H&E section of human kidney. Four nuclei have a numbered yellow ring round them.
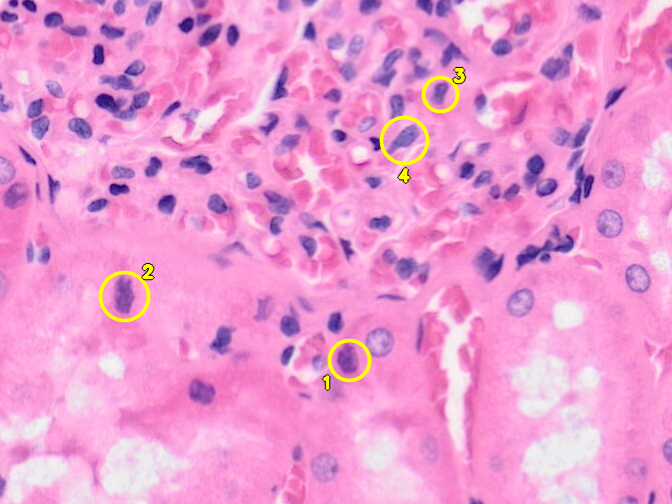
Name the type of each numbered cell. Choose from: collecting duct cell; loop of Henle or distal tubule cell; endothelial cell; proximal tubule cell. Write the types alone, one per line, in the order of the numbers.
proximal tubule cell
proximal tubule cell
endothelial cell
endothelial cell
